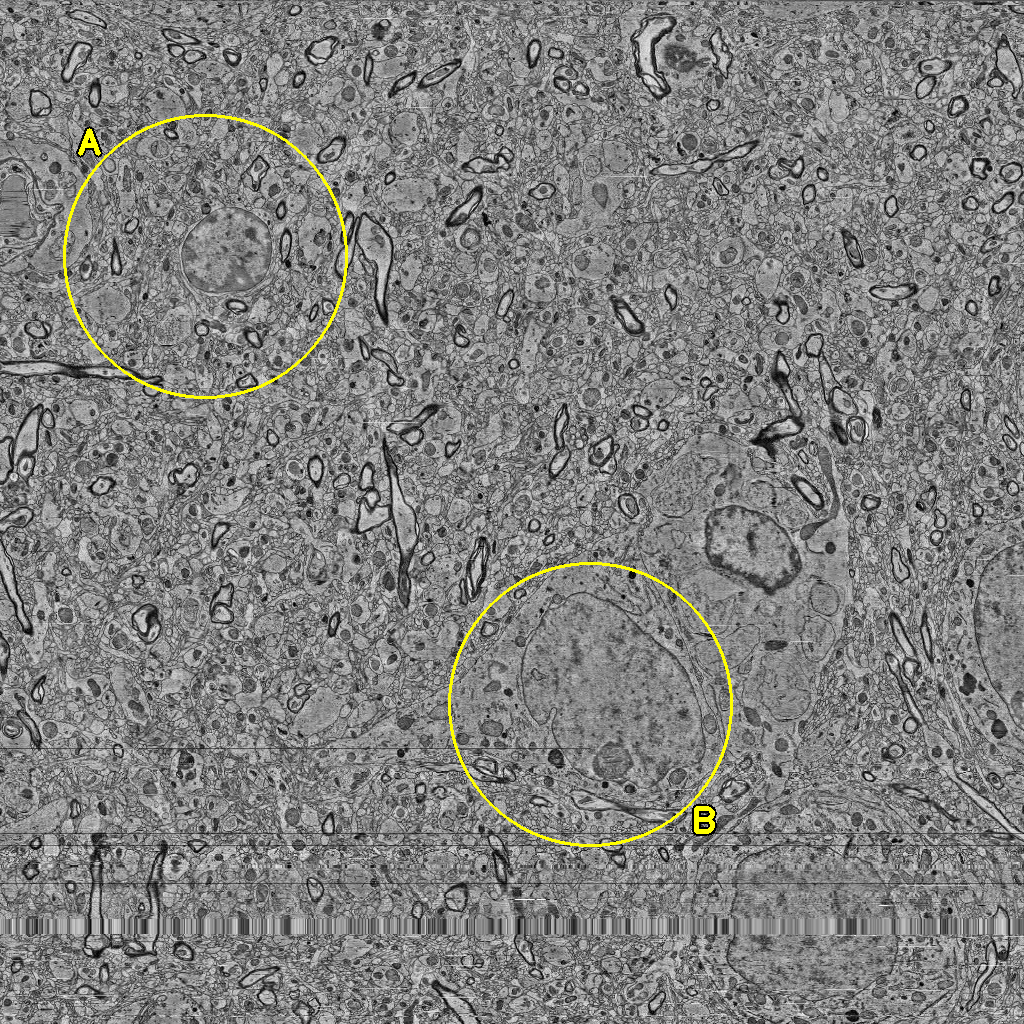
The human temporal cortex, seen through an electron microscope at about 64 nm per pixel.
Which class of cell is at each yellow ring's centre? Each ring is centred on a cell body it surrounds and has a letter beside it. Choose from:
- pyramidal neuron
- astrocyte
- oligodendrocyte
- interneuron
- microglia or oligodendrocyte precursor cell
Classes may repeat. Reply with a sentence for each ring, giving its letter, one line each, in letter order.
The ring lettered A is centred on a microglial cell or oligodendrocyte precursor cell.
The ring lettered B is centred on a pyramidal neuron.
